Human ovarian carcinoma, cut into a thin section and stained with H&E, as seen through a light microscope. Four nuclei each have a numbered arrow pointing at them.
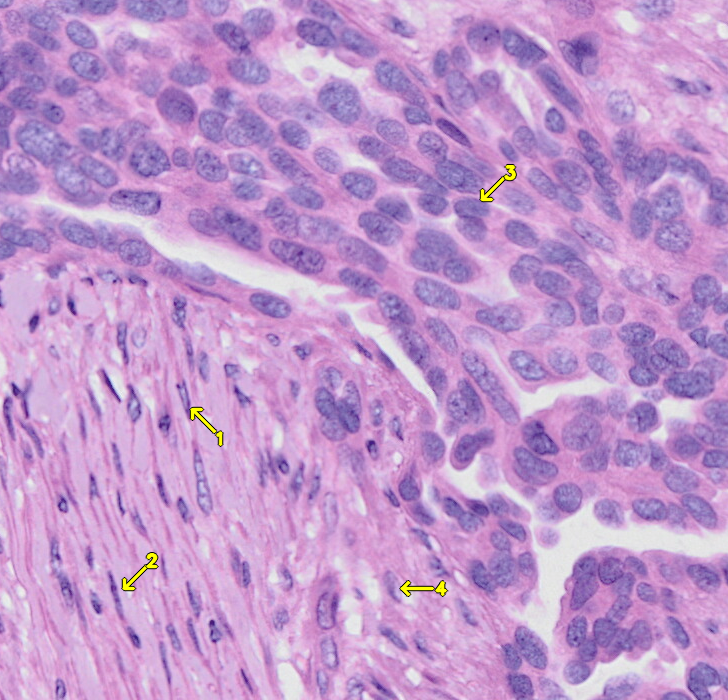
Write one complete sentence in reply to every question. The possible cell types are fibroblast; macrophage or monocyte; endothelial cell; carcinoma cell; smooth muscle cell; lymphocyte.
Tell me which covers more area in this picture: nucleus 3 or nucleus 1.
Of the two, number 3 is bigger and takes up about 2 times the area of number 1.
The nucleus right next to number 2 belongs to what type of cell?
It is a macrophage or monocyte whose nucleus is nearest to number 2.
